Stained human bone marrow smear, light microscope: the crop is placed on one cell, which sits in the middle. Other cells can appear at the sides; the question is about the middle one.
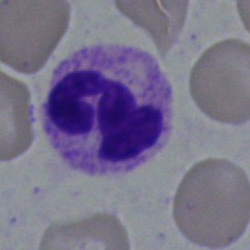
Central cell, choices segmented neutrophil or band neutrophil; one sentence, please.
Positioned in the middle of the crop is a segmented neutrophil.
